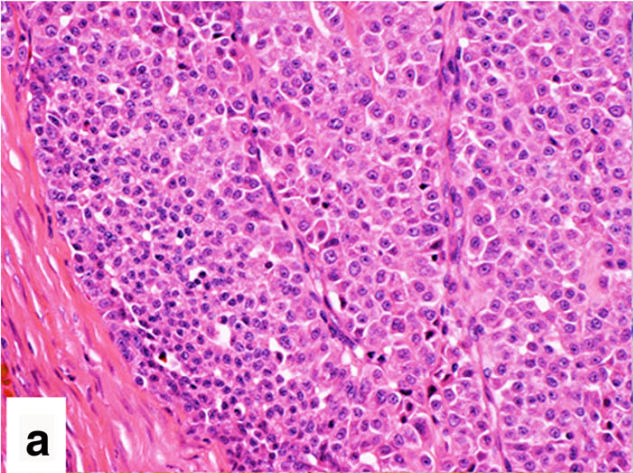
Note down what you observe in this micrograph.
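A solid tumour made of sheets and nests of closely packed polygonal cells, divided by thin fibrous strands that carry slender, dark, elongated nuclei. At the left edge, a band of dense pink collagenous tissue runs diagonally along the border of the cell mass. The tumour cells have clear cell borders and moderate amounts of pale pink cytoplasm. Their nuclei are round to oval, fairly uniform in size, and have coarse chromatin, and many show a small nucleolus. A few small clear spaces lie scattered among the cells. The overall pattern is monotonous and densely cellular.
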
